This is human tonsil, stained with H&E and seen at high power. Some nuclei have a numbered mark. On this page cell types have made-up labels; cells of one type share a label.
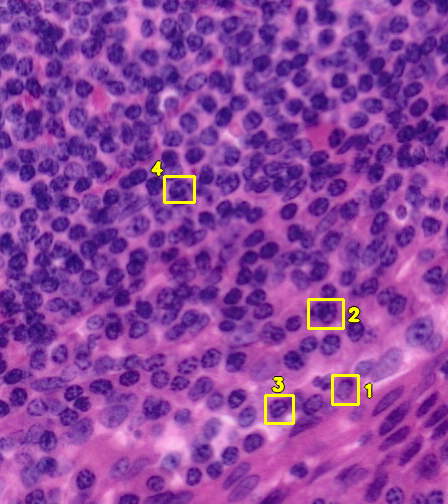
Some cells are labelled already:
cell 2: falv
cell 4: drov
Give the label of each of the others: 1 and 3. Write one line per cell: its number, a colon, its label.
1: falv
3: falv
